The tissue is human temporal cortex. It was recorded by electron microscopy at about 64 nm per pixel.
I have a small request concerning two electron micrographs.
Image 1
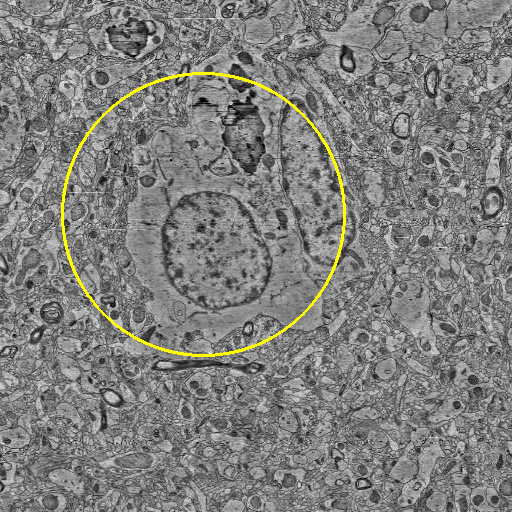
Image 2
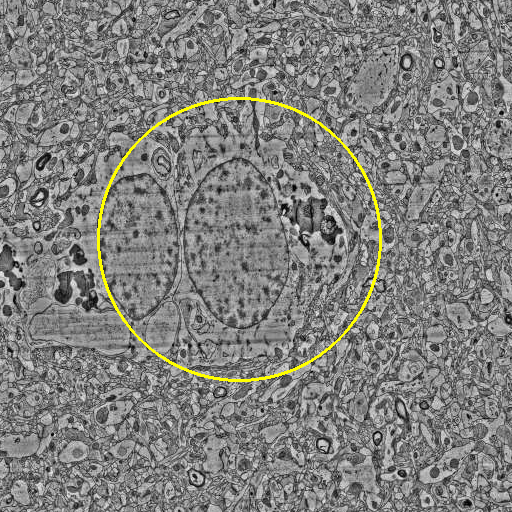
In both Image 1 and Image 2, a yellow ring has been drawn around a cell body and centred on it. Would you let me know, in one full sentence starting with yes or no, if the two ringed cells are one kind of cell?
Yes, the cells ringed in Image 1 and Image 2 are one kind of cell.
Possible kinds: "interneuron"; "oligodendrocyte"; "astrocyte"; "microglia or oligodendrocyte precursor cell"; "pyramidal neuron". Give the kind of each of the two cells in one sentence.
In each of the two pictures, the ringed cell is an astrocyte.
